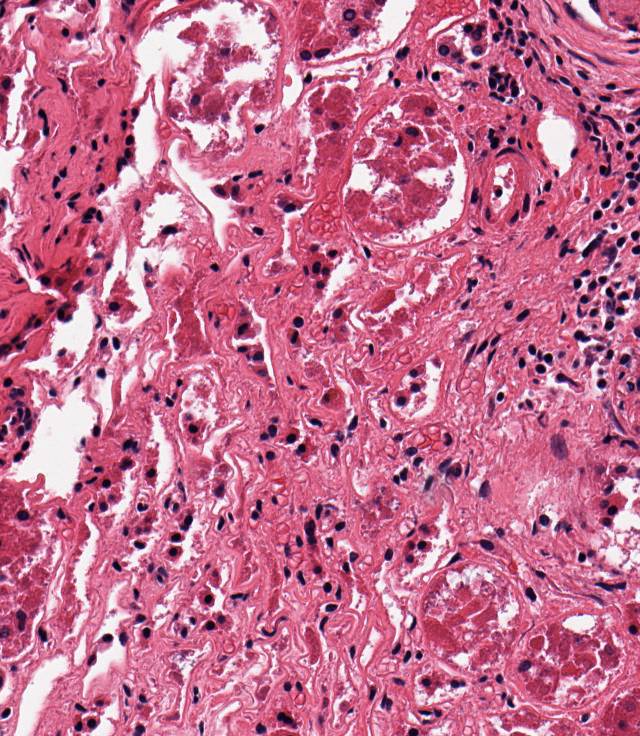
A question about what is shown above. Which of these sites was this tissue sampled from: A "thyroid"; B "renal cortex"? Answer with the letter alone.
B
